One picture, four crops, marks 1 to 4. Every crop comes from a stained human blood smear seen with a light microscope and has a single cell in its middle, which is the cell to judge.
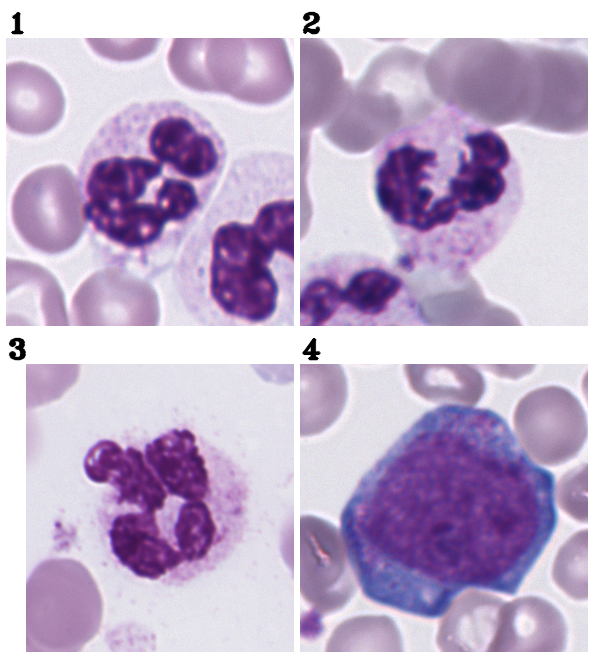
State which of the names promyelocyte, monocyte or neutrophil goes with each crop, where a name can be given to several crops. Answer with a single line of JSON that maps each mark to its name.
{"1": "neutrophil", "2": "neutrophil", "3": "neutrophil", "4": "promyelocyte"}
